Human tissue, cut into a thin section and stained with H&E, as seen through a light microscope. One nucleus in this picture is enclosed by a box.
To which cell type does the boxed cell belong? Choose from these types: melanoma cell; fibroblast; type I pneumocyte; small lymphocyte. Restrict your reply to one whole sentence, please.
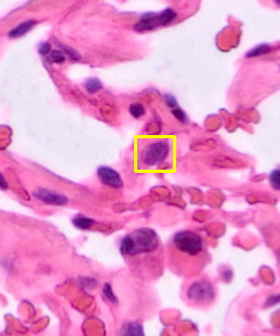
Microscopically, the boxed cell is categorized as a type I pneumocyte.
